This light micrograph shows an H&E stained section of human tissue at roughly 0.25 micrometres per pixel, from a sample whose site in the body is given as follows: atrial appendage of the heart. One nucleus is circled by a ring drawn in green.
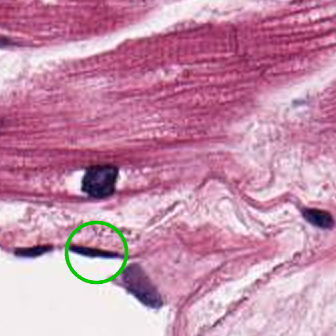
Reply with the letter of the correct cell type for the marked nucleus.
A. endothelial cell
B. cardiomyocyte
A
